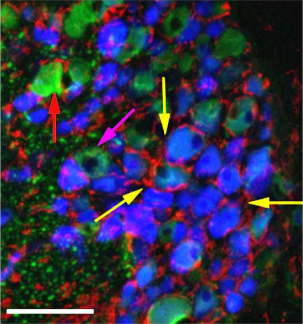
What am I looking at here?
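Densely packed large, rounded neuronal cell bodies fill the ganglion, many filled with blue and some with green cytoplasm, with occasional dark unstained nuclei visible in their centres. Between them lie small red cells with fine branching processes that hug the surfaces of the neuron somata.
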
